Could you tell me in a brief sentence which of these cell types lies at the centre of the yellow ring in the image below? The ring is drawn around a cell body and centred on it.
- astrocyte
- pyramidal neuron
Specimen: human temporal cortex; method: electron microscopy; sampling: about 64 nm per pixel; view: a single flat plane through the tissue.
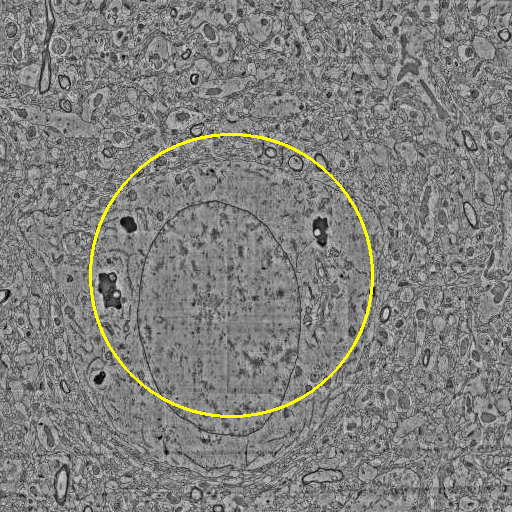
The cell centred in the ring is a pyramidal neuron.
